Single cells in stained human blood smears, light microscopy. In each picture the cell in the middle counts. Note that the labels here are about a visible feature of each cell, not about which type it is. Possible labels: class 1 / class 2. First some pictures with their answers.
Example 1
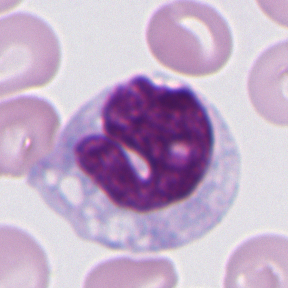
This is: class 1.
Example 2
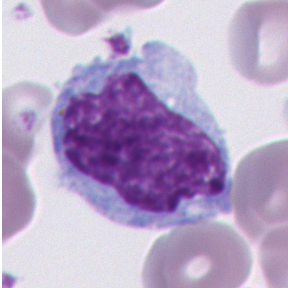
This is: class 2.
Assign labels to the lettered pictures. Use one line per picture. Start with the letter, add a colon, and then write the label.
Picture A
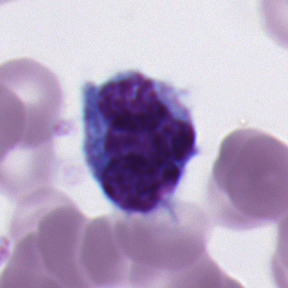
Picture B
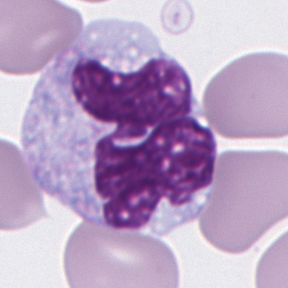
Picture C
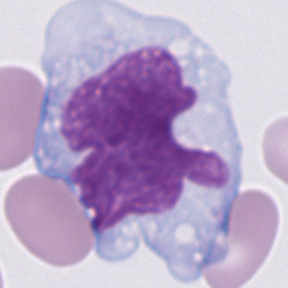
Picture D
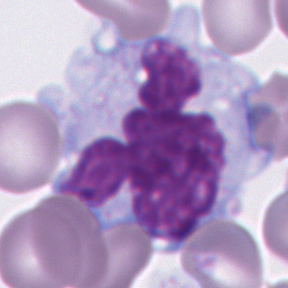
A: class 2.
B: class 1.
C: class 1.
D: class 1.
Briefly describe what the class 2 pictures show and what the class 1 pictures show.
class 2, scant cytoplasm; class 1, abundant cytoplasm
